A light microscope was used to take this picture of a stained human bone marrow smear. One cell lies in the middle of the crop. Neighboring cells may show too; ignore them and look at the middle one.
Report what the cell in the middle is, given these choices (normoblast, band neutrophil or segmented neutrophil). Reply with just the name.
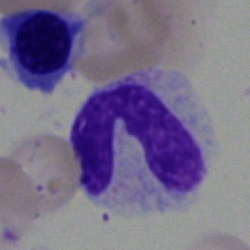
band neutrophil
